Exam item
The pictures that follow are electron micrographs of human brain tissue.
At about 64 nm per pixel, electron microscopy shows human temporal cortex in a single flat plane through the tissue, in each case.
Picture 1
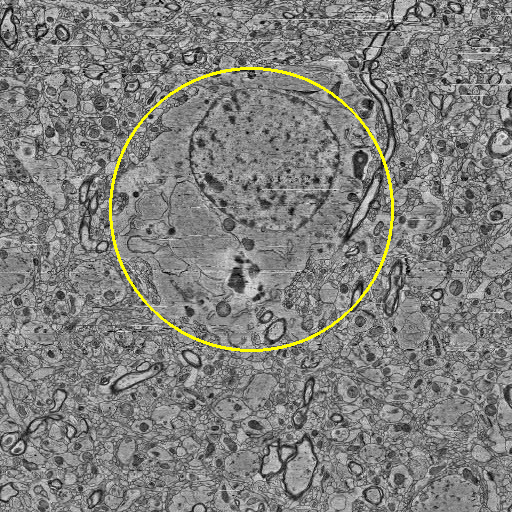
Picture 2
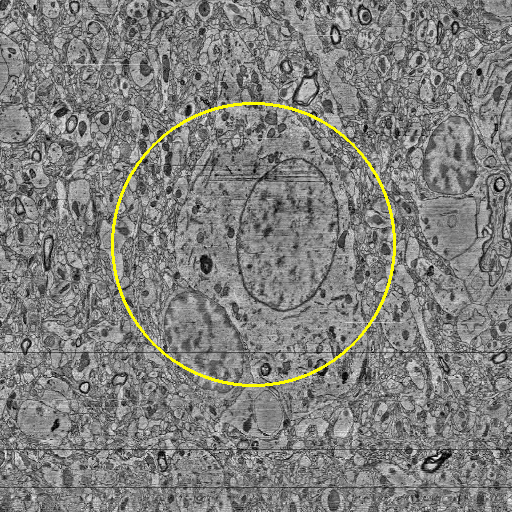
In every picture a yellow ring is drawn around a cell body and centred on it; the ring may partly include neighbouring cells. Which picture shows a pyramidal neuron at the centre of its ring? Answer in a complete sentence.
The cell at the centre of the ring in Picture 2 is the one asked for.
